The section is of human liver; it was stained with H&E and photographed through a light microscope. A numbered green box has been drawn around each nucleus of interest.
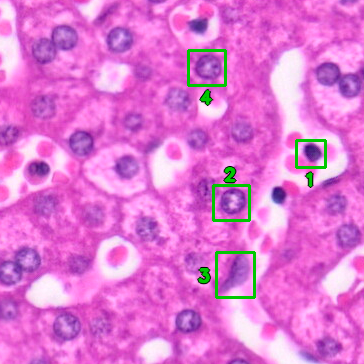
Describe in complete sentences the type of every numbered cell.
Cell 1 is a lymphocyte, cell 2 is a hepatocyte, cell 3 is a Kupffer cell and cell 4 is a hepatocyte.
